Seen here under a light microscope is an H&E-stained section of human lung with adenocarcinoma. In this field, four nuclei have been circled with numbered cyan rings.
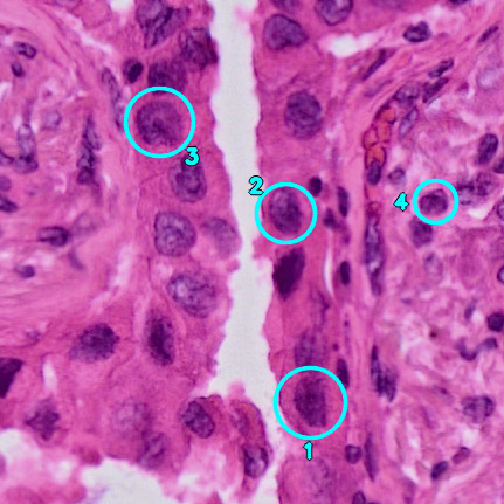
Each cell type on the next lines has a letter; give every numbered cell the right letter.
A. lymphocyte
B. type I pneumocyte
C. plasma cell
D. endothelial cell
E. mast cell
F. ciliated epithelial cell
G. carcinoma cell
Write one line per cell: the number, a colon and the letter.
1: G
2: G
3: G
4: A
